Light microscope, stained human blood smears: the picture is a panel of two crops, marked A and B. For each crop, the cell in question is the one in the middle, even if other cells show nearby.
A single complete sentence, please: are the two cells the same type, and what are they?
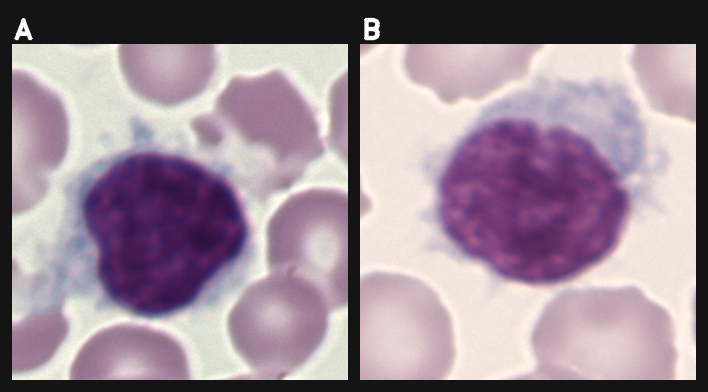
Yes, the cells of interest in both crops are hairy cells.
